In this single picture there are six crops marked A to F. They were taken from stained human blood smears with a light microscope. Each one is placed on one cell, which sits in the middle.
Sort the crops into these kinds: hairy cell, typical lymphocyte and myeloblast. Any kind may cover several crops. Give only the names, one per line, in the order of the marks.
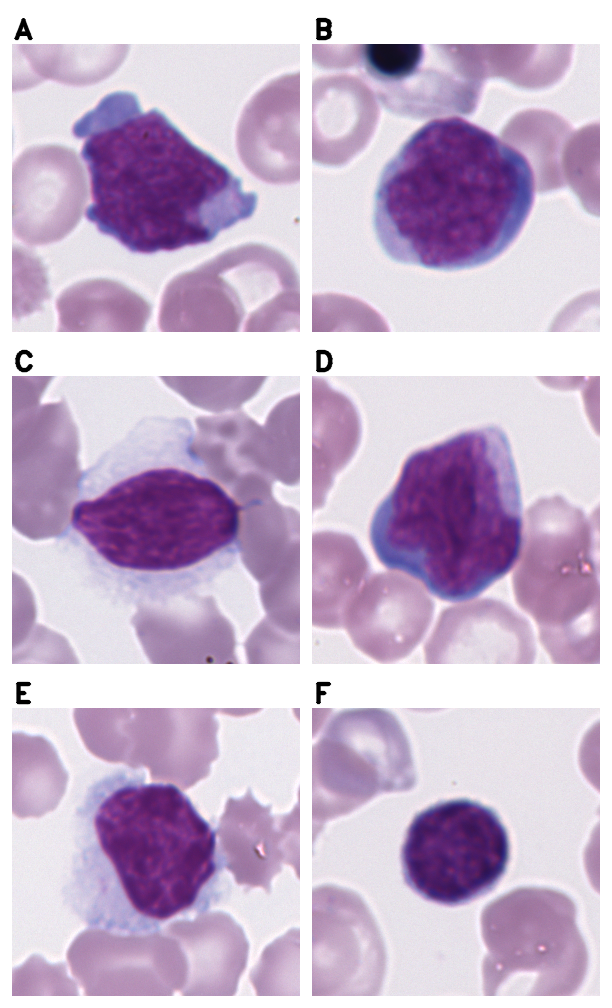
myeloblast
myeloblast
hairy cell
myeloblast
hairy cell
typical lymphocyte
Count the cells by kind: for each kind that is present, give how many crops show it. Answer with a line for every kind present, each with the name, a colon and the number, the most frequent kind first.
myeloblast: 3
hairy cell: 2
typical lymphocyte: 1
